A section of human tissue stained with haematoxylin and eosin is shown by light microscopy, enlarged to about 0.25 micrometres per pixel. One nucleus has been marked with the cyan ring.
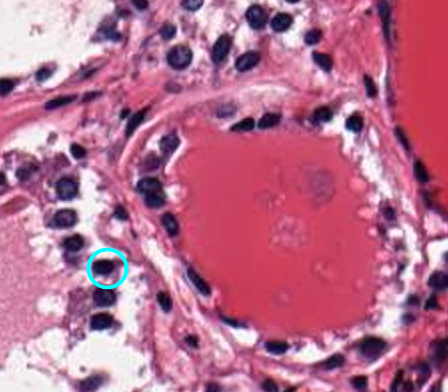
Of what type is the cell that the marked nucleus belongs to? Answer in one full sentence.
The marked nucleus is found in a thyroid follicular cell.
